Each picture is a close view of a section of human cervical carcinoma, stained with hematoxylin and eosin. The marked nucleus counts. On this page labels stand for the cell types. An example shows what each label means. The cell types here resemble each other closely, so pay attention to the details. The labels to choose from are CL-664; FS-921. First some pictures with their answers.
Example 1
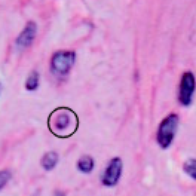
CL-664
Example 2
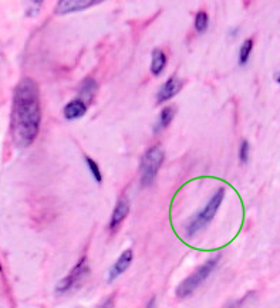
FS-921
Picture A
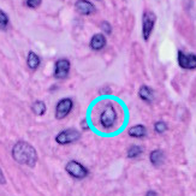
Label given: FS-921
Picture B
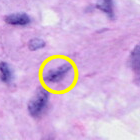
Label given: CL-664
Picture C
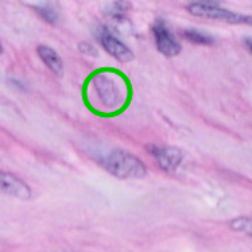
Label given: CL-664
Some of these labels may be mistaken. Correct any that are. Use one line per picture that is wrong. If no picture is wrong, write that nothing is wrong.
A: CL-664, not FS-921
B: FS-921, not CL-664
